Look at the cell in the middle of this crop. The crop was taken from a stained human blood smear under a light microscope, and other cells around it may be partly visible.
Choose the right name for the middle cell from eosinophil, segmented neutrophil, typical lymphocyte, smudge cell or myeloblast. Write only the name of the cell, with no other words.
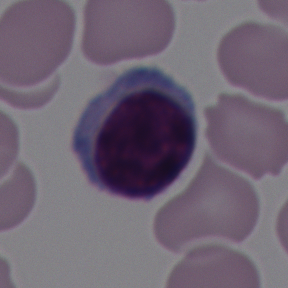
typical lymphocyte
